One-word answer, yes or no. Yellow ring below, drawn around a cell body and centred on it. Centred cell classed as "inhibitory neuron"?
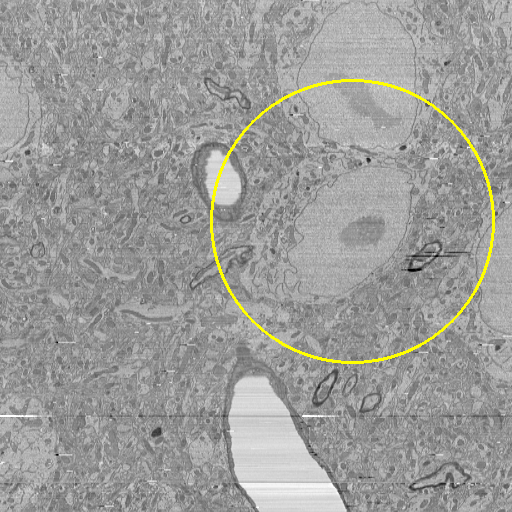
yes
